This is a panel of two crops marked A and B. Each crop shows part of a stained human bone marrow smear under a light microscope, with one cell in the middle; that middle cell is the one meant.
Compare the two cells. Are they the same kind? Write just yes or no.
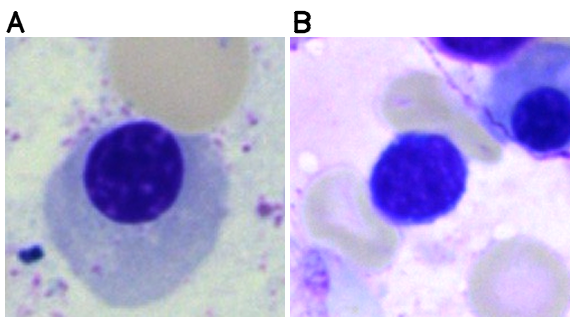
no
